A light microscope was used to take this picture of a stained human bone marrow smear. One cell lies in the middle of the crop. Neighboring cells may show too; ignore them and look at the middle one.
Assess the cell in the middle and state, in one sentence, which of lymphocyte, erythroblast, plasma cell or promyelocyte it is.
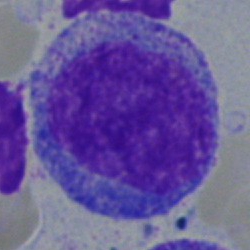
The cell shown in the center of this light-microscope crop is a promyelocyte.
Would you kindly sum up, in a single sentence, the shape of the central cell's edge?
No projections interrupt the outline; it is smooth all the way round.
